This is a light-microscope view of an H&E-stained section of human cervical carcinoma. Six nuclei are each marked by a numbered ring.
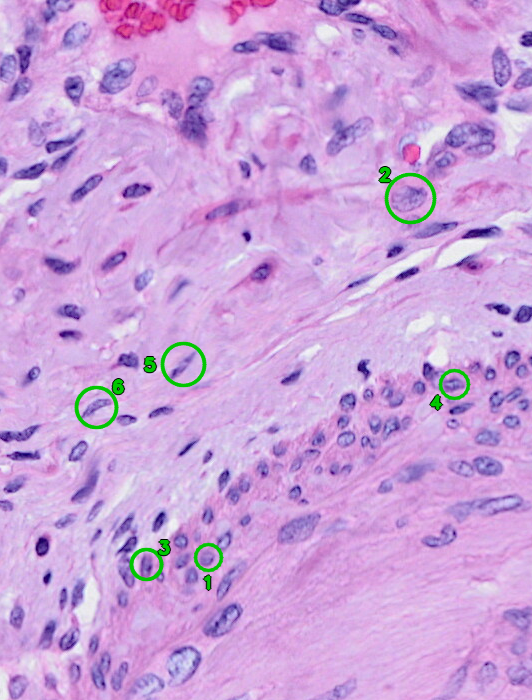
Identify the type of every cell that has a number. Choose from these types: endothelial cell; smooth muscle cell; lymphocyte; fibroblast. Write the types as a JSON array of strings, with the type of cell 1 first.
["smooth muscle cell", "endothelial cell", "smooth muscle cell", "smooth muscle cell", "fibroblast", "fibroblast"]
